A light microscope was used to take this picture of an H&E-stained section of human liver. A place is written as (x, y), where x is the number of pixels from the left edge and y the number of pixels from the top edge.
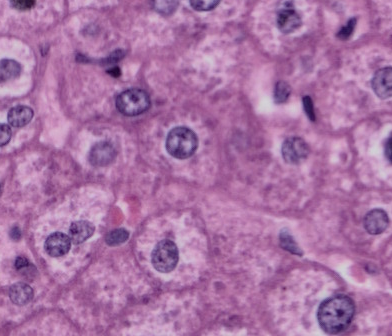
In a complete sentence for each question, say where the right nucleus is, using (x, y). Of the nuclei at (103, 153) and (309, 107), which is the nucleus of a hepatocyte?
Between the two nuclei, the one sitting at (103, 153) belongs to a hepatocyte.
